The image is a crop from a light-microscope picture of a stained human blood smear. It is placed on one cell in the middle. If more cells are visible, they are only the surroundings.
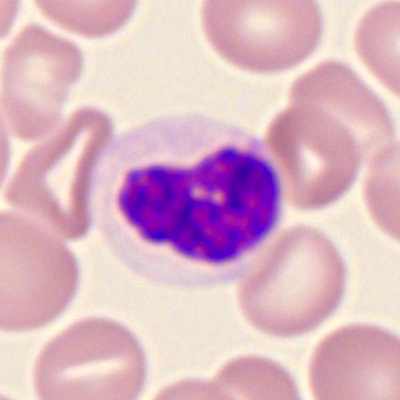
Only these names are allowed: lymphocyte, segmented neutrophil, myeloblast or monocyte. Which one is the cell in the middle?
segmented neutrophil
